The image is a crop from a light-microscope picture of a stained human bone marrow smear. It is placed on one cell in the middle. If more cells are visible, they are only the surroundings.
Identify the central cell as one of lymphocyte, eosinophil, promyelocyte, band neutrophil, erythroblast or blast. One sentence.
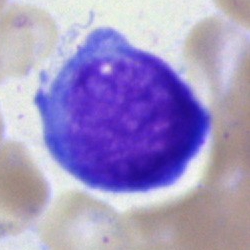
The cell centred in this crop is categorized as a blast.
